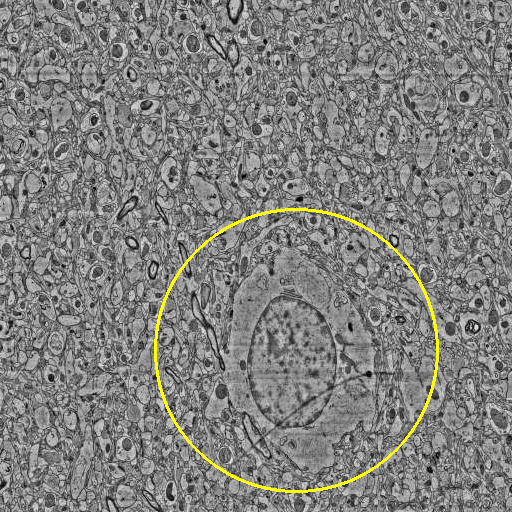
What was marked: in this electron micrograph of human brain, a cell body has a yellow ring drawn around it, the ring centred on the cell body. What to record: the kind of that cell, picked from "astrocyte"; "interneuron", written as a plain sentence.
The centred cell is an astrocyte.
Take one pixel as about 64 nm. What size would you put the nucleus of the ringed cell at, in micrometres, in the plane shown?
The nucleus is approximately 8 micrometers long by 6 micrometers wide in this plane.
